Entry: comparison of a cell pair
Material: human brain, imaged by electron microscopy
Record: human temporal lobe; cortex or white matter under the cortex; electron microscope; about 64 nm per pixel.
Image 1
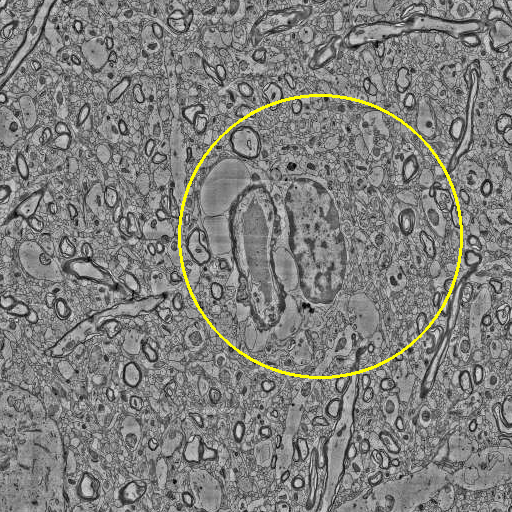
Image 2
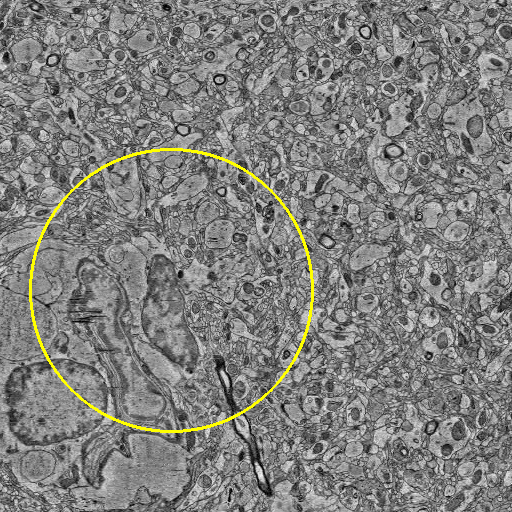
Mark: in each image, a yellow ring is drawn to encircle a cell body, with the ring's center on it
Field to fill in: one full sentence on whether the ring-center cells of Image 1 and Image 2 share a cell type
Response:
Yes, Image 1 and Image 2 each show a ring-center cell of one shared type.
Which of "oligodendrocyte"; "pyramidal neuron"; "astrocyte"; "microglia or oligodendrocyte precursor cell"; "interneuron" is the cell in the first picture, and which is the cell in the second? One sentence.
Each one of the two ringed cells is a microglial cell or oligodendrocyte precursor cell.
